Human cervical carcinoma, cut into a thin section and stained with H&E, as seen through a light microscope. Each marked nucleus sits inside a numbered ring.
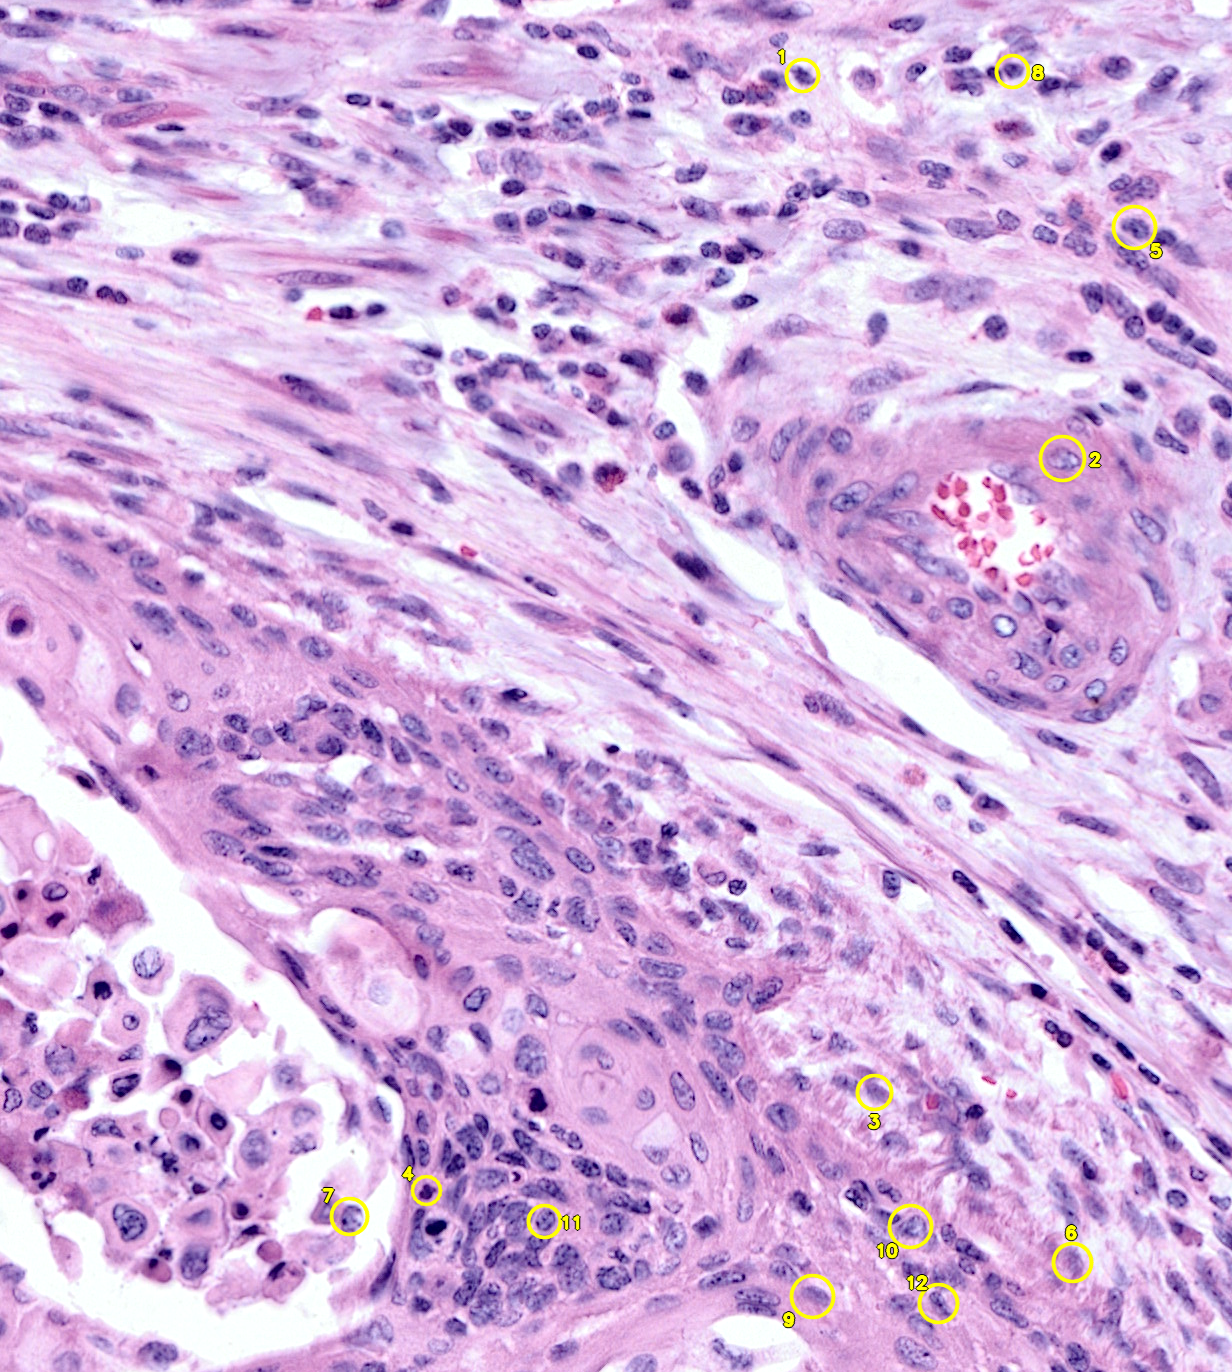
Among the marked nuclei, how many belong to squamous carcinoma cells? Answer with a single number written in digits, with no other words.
6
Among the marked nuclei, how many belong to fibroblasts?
2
